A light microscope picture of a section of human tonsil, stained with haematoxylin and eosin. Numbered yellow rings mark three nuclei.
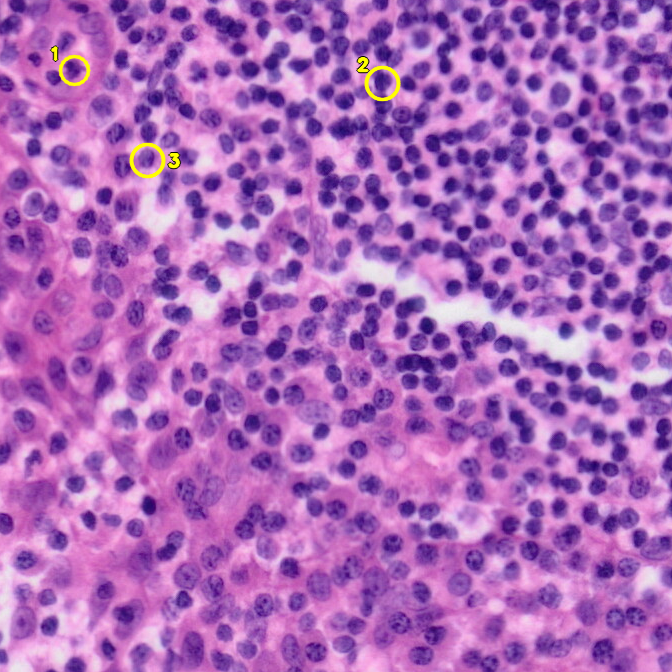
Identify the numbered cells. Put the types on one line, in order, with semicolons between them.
endothelial cell; small lymphocyte; plasma cell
